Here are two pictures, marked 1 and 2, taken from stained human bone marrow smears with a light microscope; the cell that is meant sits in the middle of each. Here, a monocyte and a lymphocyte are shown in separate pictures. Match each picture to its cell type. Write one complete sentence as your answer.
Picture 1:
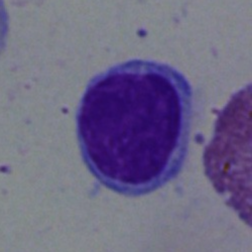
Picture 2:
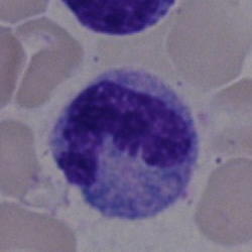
It is picture 1 that shows a lymphocyte, and picture 2 that shows a monocyte.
